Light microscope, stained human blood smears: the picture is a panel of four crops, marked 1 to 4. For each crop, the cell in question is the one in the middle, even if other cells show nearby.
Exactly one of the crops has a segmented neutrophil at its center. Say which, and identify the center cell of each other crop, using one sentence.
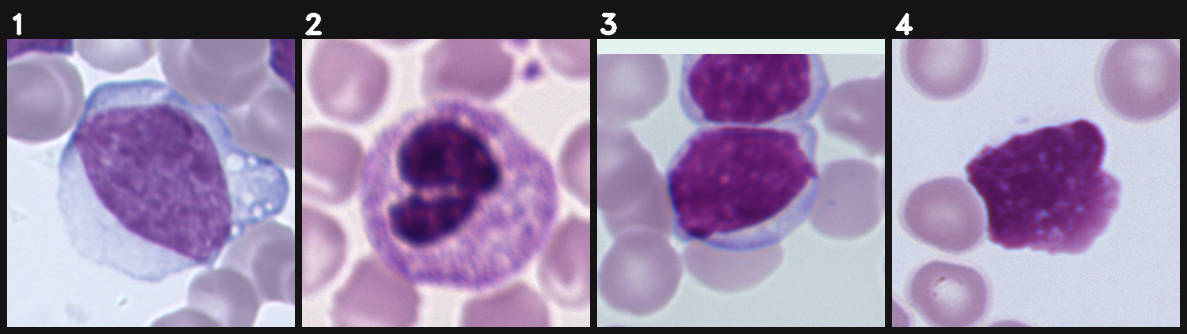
Crop 2 presents a segmented neutrophil at its centre, whereas crop 1 is a myeloblast, crop 3 is a large granular lymphocyte and crop 4 is a smudge cell.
